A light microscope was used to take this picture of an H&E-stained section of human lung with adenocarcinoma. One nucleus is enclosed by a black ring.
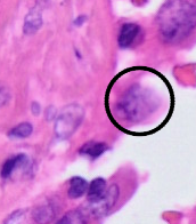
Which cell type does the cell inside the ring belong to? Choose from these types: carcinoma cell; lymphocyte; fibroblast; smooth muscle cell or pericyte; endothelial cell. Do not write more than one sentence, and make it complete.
Within this tissue, the cell inside the ring is a carcinoma cell.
